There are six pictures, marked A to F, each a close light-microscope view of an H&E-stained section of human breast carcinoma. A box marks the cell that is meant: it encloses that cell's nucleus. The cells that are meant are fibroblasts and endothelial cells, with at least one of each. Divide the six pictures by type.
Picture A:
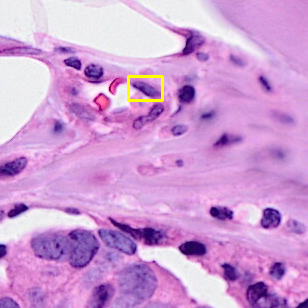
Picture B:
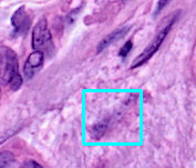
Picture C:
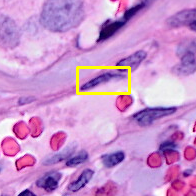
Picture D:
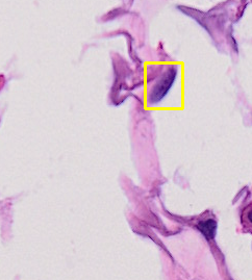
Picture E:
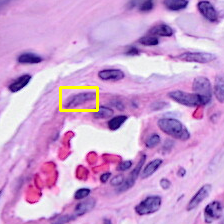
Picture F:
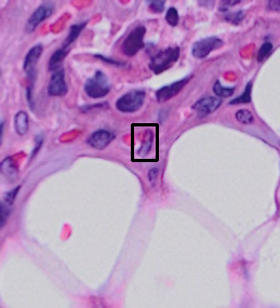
A: endothelial cell
B: fibroblast
C: endothelial cell
D: fibroblast
E: endothelial cell
F: endothelial cell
